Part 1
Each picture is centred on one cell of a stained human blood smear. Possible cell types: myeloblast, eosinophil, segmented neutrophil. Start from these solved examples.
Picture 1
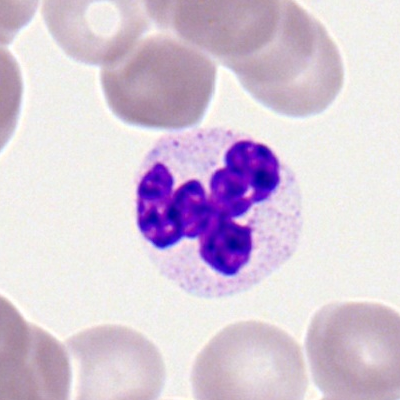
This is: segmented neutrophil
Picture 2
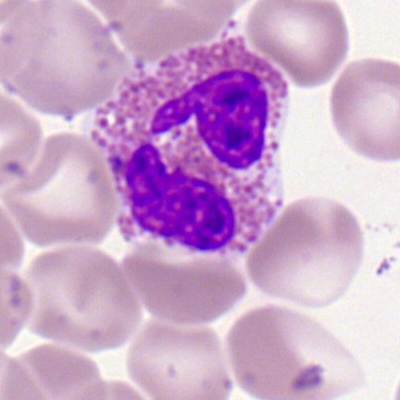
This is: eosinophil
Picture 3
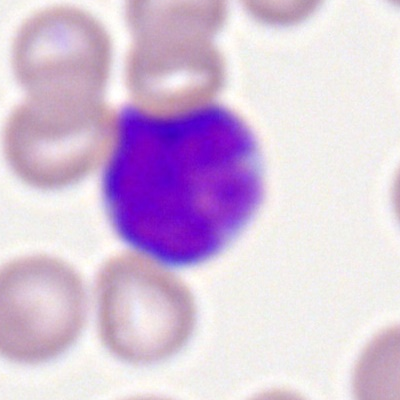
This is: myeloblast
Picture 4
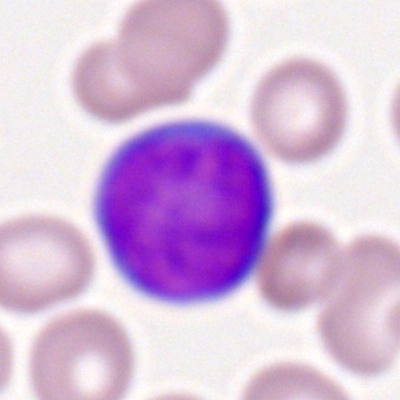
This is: myeloblast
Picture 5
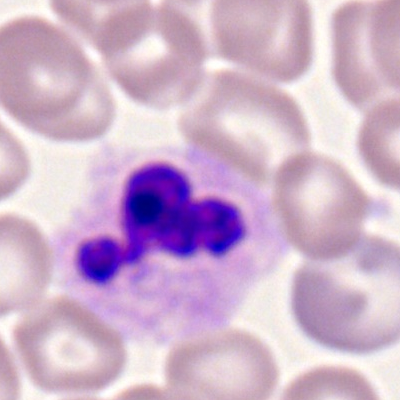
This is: segmented neutrophil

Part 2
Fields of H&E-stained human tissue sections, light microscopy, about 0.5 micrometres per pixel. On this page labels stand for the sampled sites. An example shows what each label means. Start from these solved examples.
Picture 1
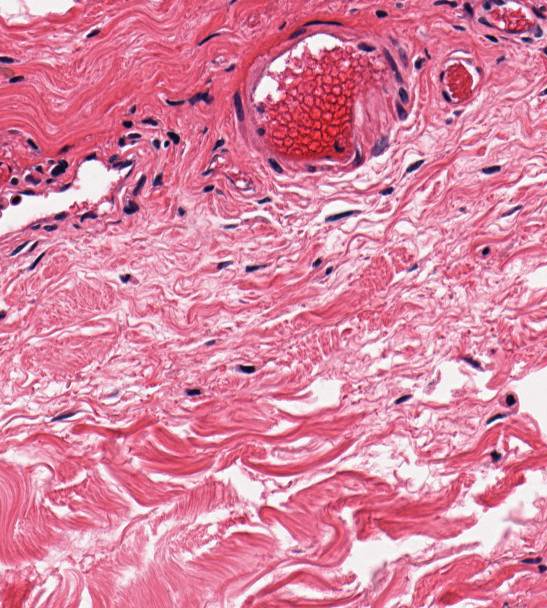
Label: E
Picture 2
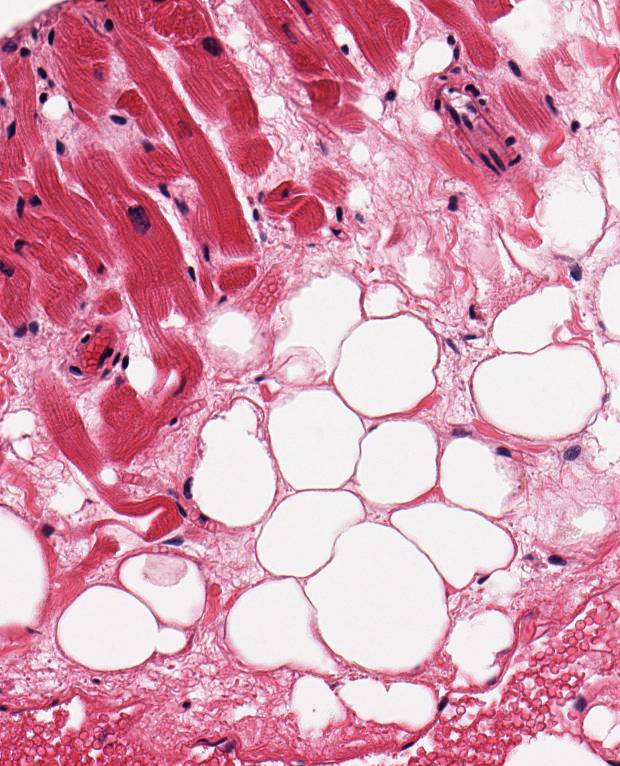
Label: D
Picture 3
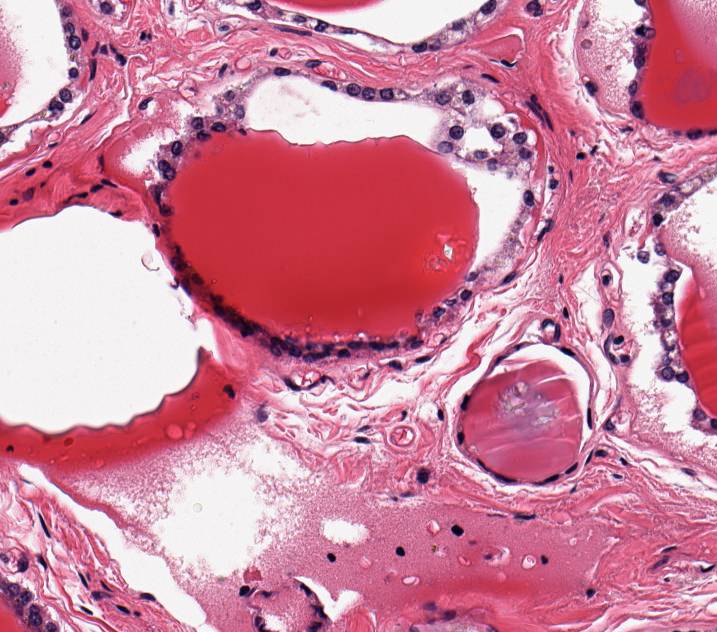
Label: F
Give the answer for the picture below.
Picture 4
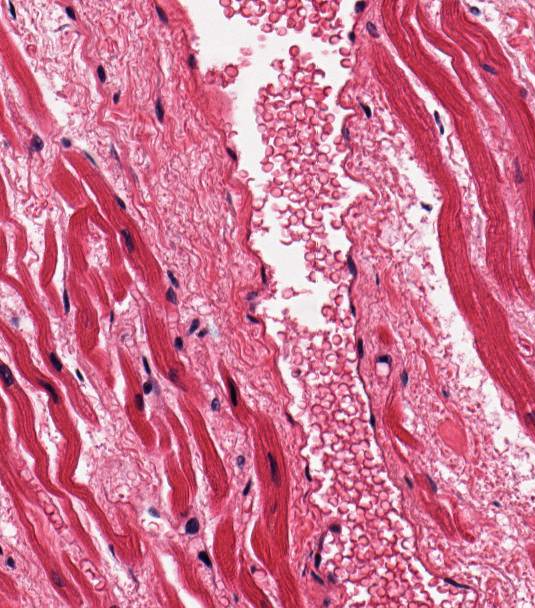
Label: D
